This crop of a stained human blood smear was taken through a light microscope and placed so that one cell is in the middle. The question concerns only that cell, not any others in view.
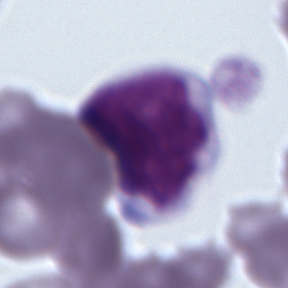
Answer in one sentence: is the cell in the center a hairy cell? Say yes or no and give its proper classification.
No, what the centre of the crop shows is a myeloblast, not a hairy cell.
